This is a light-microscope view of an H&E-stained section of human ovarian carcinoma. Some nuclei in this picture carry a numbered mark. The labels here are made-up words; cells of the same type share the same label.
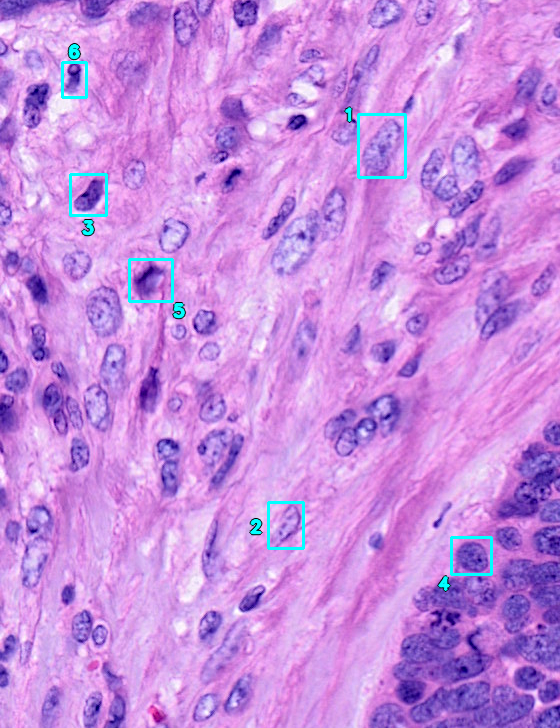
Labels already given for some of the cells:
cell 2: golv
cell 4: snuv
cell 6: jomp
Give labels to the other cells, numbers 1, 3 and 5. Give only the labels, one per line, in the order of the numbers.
golv
jomp
golv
